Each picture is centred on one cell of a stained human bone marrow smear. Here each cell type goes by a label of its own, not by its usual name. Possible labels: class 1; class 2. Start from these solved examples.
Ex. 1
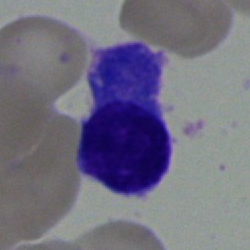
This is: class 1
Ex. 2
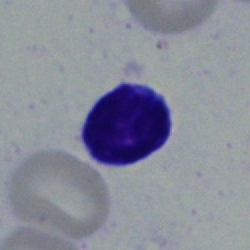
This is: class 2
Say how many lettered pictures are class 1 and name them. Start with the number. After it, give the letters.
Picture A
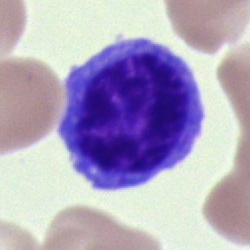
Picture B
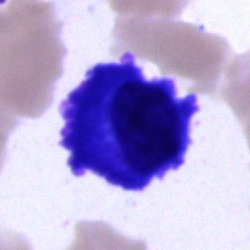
Count: 2 (A, B)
